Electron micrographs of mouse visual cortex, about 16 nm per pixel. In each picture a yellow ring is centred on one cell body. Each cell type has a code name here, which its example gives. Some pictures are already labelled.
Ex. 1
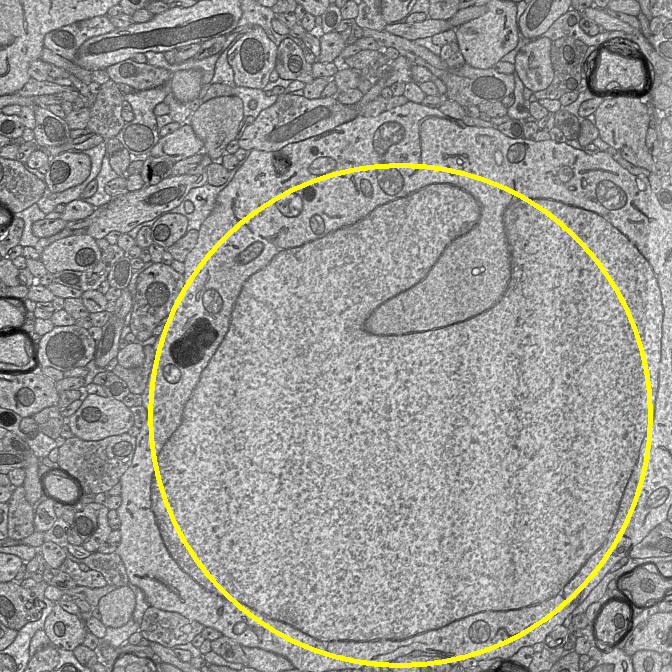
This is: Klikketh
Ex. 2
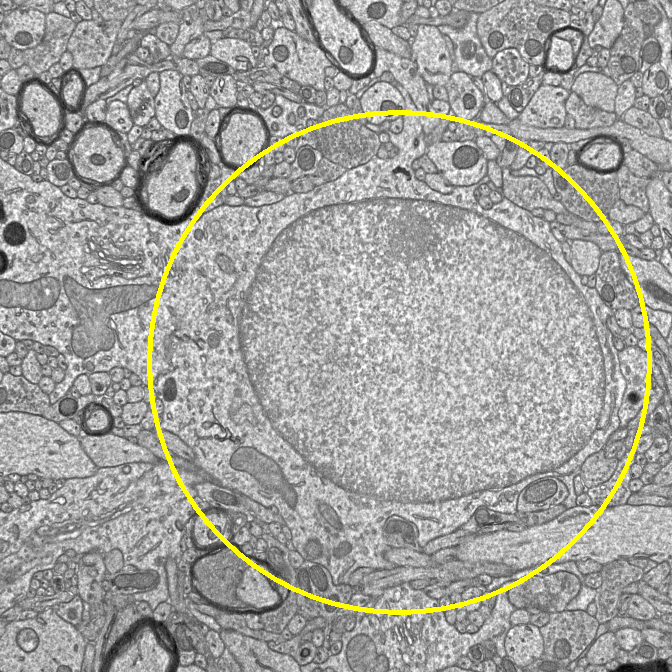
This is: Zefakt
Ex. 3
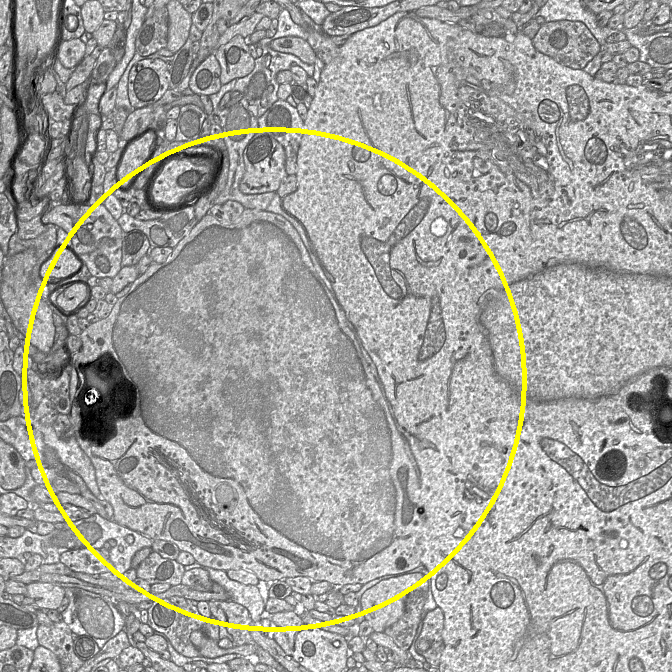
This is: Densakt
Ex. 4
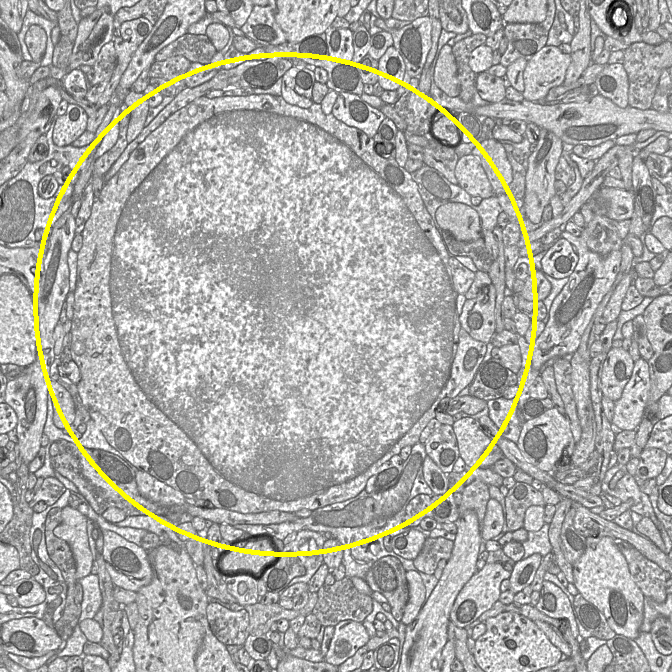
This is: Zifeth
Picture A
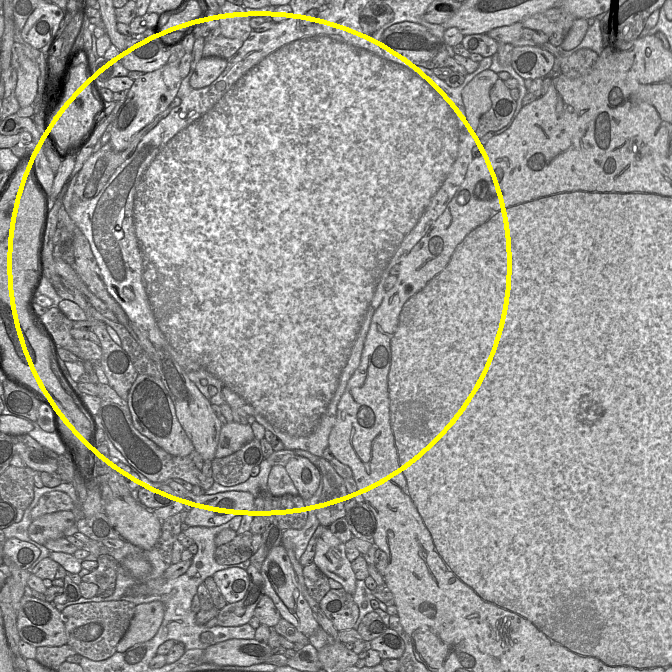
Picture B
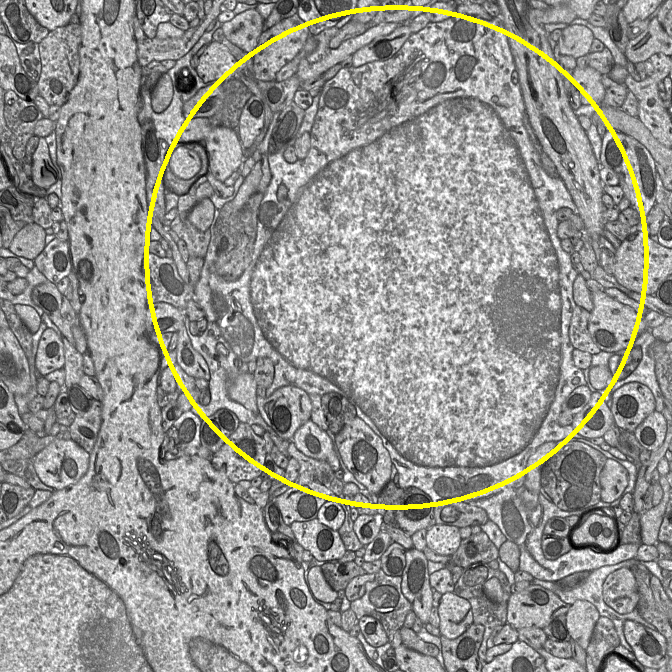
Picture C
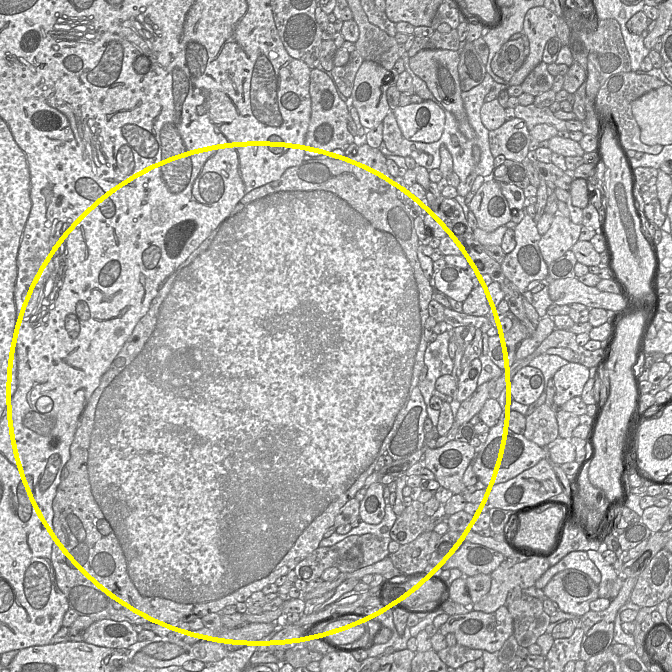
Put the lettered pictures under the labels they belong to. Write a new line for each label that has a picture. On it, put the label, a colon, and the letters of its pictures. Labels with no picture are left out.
Zefakt: A, B
Zifeth: C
